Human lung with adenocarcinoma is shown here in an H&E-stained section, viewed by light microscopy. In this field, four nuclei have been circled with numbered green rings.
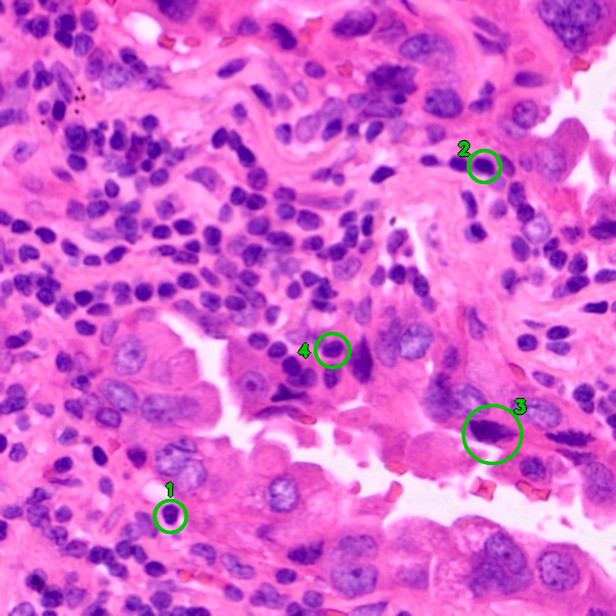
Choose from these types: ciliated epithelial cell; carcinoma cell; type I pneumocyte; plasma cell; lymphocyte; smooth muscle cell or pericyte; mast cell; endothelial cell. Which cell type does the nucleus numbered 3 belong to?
carcinoma cell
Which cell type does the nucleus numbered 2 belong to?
lymphocyte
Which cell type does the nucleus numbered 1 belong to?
lymphocyte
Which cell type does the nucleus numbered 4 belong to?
lymphocyte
